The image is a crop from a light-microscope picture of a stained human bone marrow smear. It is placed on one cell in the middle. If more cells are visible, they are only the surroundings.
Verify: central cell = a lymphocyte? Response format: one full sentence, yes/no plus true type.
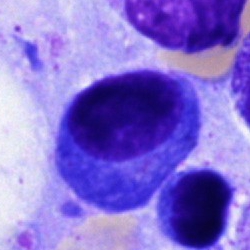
No, what occupies the middle of the crop is a plasma cell and not a lymphocyte.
